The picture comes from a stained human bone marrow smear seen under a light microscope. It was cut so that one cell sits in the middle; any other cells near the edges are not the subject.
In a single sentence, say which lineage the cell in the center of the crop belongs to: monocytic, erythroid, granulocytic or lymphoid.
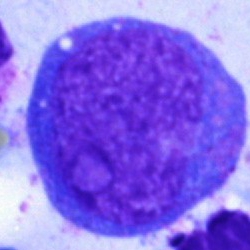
Designated granulocytic in lineage is the cell at the center of the crop.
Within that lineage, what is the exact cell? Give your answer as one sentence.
At the crop's centre, the cell is a promyelocyte.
